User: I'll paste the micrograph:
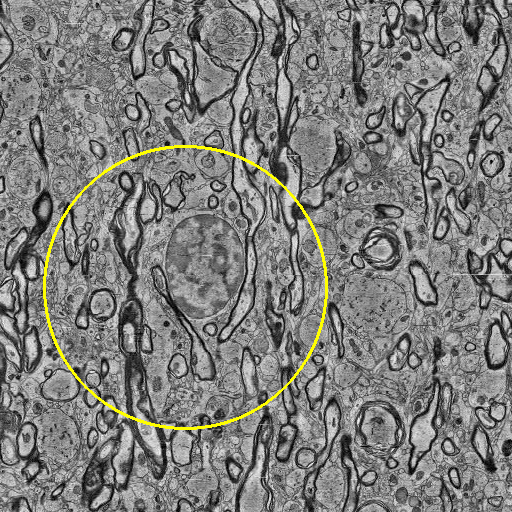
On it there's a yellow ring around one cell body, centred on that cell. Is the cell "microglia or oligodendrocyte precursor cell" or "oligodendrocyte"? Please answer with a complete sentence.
The cell ringed in yellow is a microglial cell or oligodendrocyte precursor cell.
